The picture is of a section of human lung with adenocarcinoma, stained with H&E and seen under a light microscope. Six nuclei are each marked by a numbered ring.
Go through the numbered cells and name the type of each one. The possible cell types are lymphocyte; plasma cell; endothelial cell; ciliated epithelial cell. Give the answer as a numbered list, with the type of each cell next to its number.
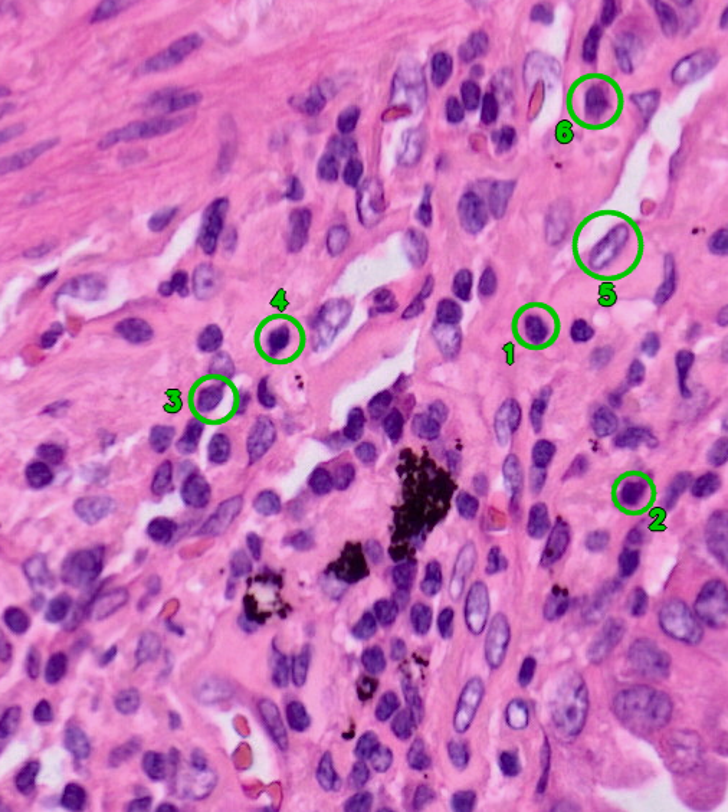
1. lymphocyte
2. plasma cell
3. lymphocyte
4. lymphocyte
5. endothelial cell
6. plasma cell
